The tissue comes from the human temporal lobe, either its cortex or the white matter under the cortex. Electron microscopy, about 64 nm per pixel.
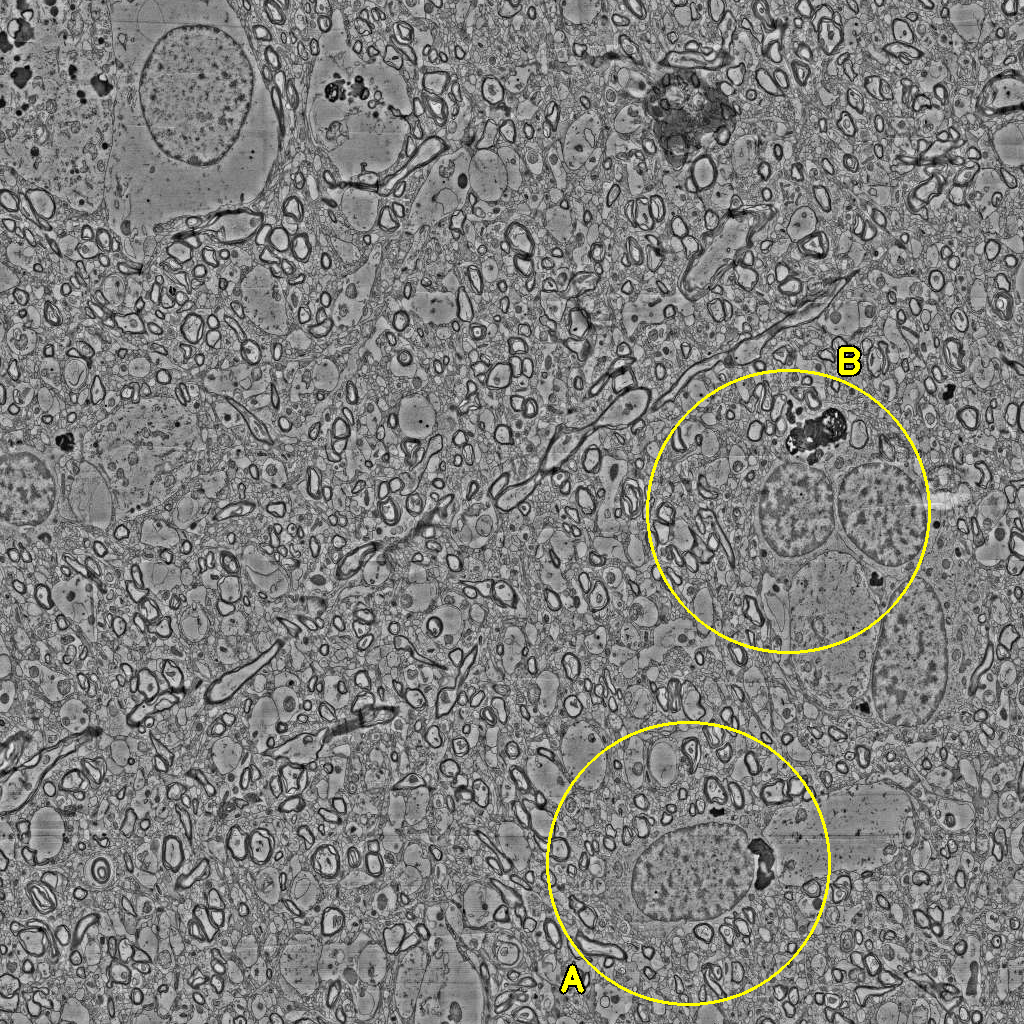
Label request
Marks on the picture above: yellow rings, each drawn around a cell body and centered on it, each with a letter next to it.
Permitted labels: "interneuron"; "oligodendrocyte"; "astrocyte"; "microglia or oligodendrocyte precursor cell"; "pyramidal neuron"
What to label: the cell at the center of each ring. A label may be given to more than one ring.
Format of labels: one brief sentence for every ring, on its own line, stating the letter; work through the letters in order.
The cell at the center of ring A is an oligodendrocyte.
The cell at the center of ring B is an oligodendrocyte.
